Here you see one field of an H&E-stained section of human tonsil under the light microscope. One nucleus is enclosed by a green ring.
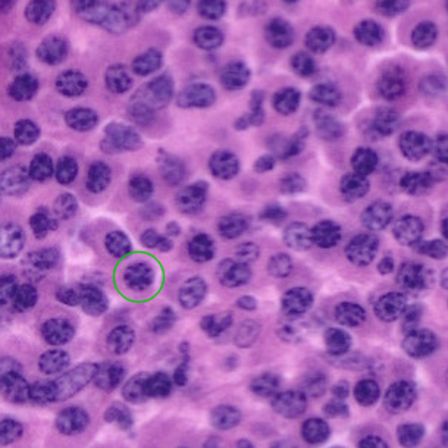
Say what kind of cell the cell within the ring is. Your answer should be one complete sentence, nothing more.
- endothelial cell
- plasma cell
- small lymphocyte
In cell-type terms, the cell within the ring is a plasma cell.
